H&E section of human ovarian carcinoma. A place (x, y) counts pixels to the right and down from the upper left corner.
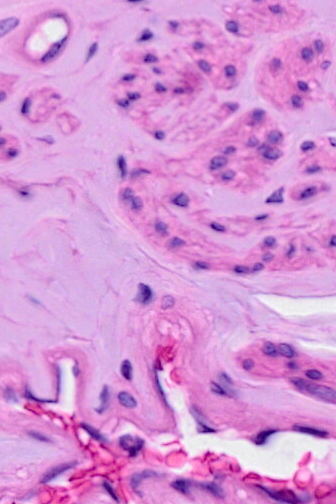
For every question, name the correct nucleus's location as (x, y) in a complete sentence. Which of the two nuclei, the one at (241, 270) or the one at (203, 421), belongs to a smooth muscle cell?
Here the nucleus at (241, 270) is the one that belongs to a smooth muscle cell.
